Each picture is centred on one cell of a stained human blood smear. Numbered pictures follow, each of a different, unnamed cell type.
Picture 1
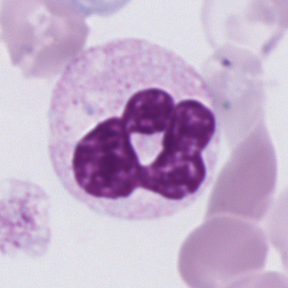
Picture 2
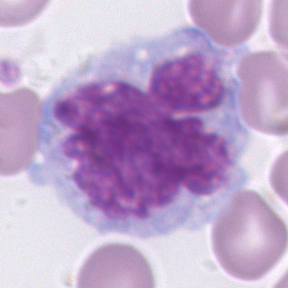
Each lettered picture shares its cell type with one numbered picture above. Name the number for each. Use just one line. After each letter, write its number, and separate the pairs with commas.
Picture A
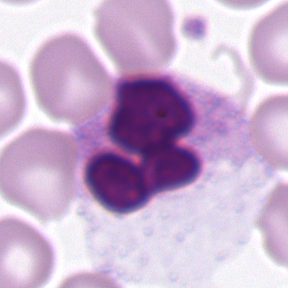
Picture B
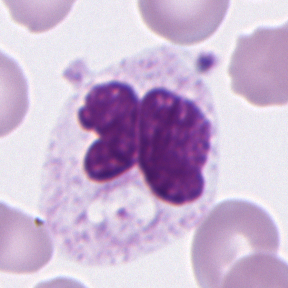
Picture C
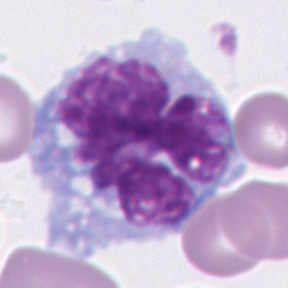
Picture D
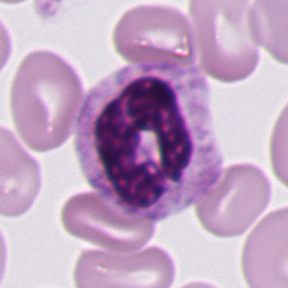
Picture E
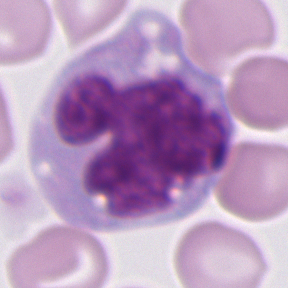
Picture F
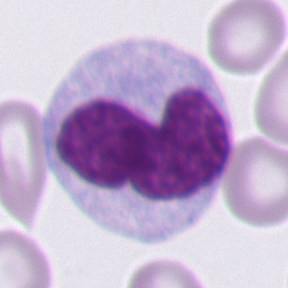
A 1, B 1, C 2, D 1, E 2, F 2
